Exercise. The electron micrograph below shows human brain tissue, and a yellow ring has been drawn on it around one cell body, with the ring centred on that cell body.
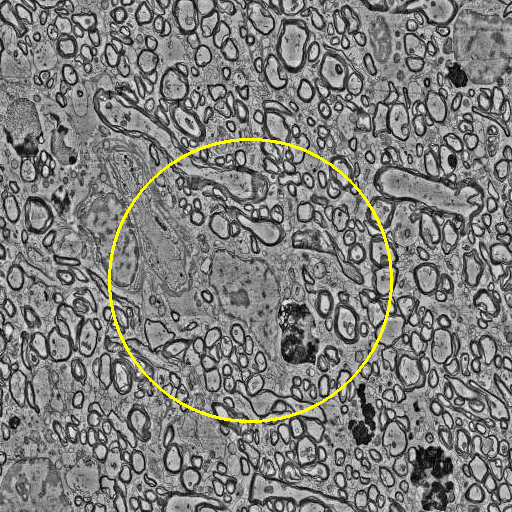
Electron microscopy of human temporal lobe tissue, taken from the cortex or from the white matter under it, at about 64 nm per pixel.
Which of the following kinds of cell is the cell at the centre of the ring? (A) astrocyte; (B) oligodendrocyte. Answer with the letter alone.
A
